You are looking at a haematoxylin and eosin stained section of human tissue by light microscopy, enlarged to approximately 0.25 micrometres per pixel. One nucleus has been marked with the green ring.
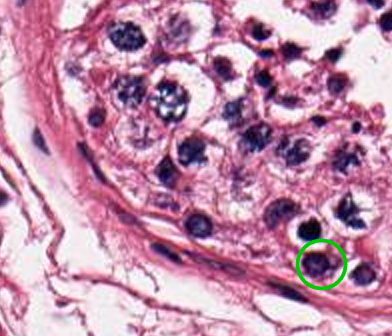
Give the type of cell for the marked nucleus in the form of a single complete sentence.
As shown, the marked nucleus belongs to a spermatogonium.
